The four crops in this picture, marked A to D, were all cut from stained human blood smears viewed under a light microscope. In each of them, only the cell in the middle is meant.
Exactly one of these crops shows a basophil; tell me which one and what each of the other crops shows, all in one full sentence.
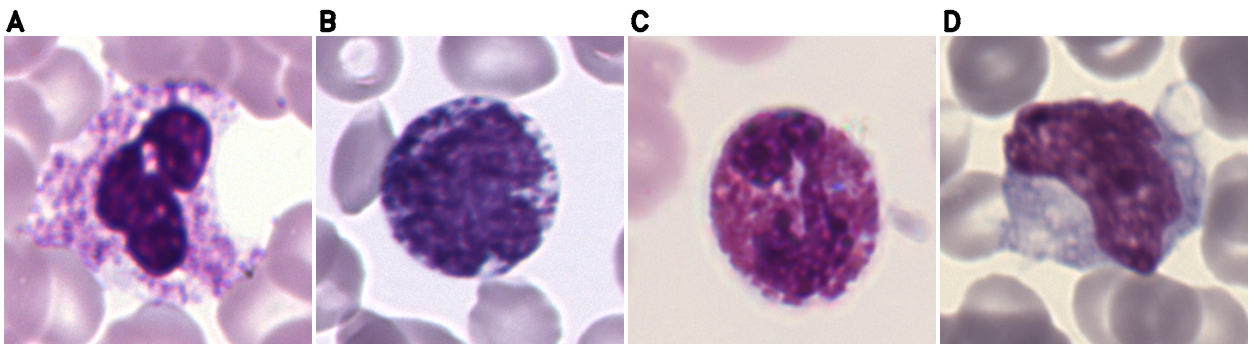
Crop B is to be called a basophil, while crop A is a segmented neutrophil, crop C is an eosinophil and crop D is a monocyte.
